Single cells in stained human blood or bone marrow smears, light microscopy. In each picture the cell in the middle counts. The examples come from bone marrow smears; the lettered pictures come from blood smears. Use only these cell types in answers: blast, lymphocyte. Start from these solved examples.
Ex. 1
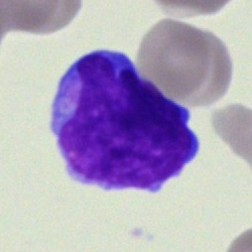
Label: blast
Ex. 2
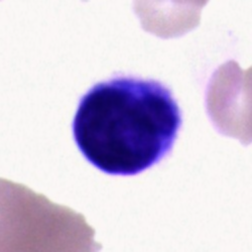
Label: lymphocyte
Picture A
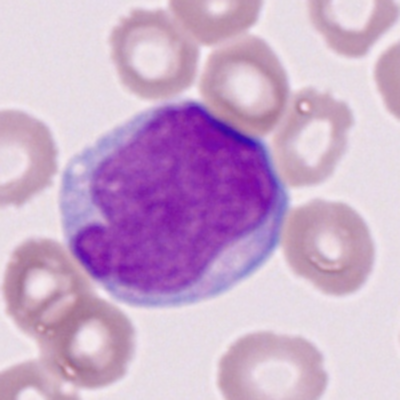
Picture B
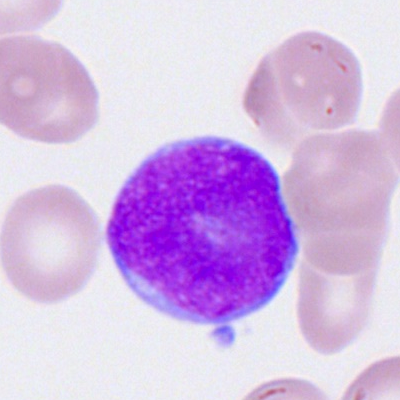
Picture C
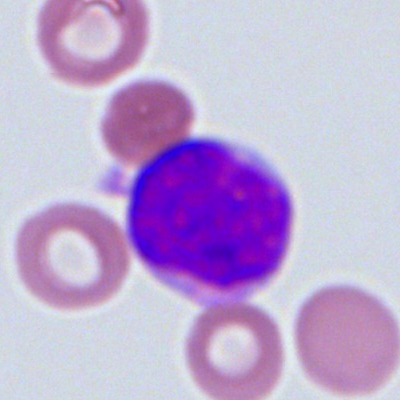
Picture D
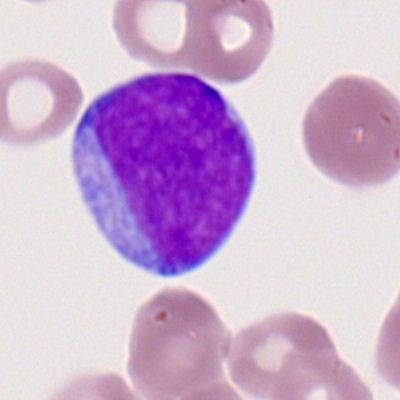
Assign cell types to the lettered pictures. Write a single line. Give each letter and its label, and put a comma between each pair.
A blast, B blast, C blast, D blast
